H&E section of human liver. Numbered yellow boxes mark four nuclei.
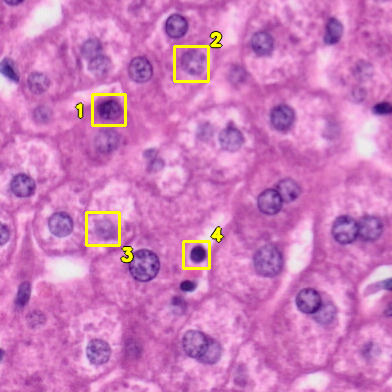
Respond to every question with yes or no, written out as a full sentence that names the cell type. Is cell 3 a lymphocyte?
No, calling cell 3 a lymphocyte is incorrect; it is a hepatocyte.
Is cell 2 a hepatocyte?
Yes, the cell bearing the number 2 is a hepatocyte.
